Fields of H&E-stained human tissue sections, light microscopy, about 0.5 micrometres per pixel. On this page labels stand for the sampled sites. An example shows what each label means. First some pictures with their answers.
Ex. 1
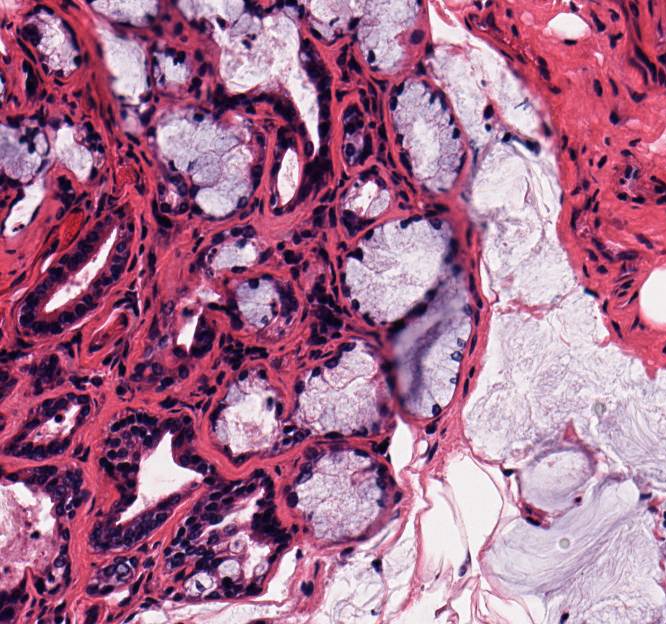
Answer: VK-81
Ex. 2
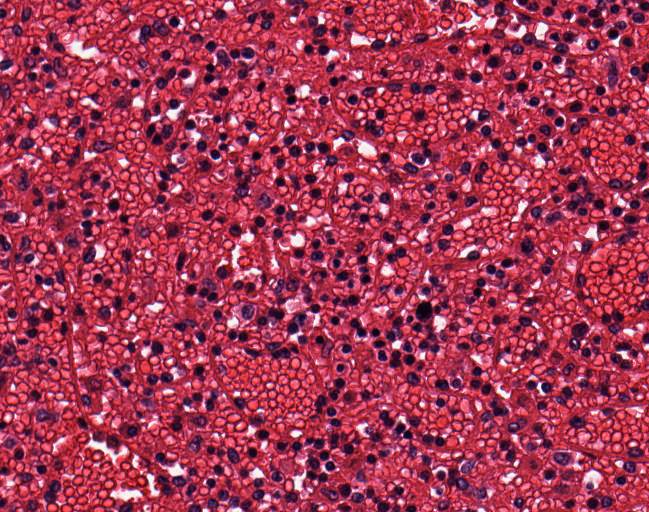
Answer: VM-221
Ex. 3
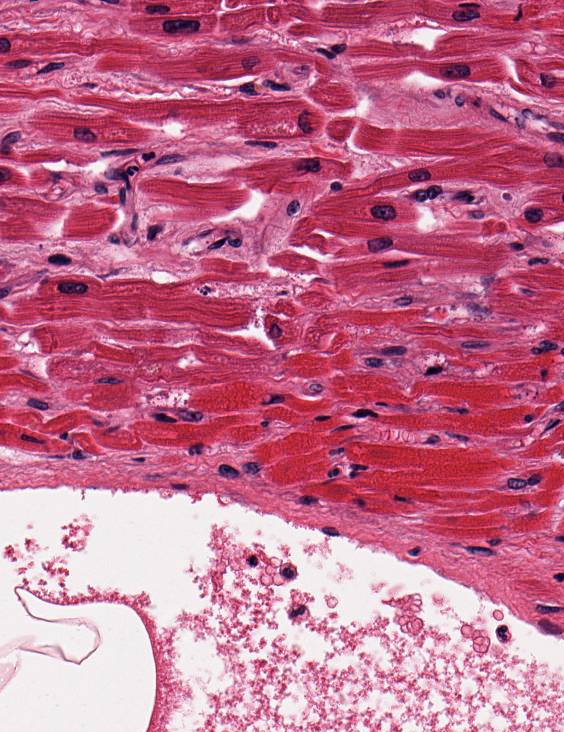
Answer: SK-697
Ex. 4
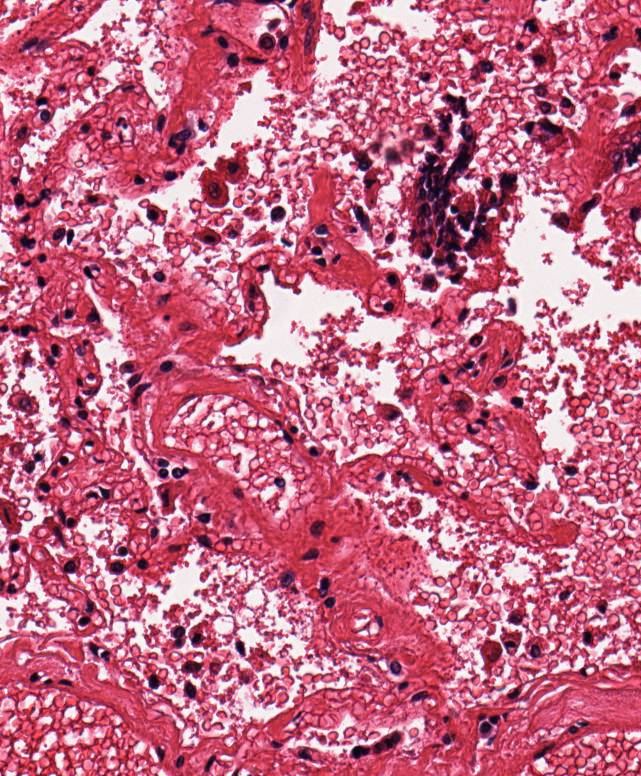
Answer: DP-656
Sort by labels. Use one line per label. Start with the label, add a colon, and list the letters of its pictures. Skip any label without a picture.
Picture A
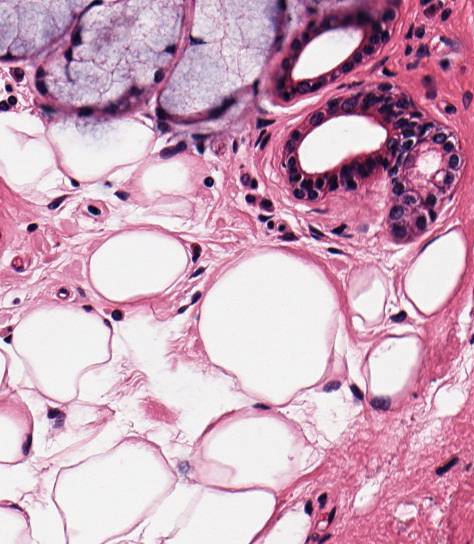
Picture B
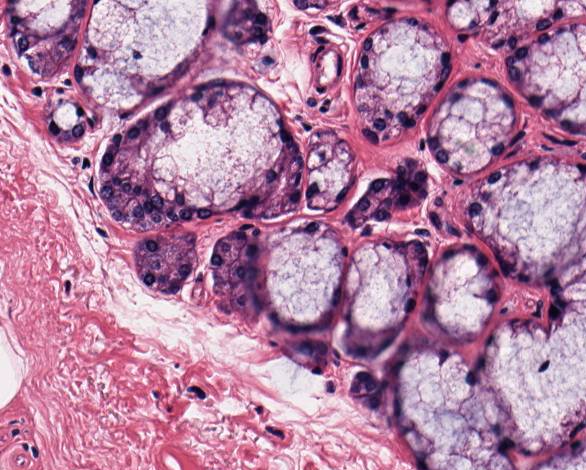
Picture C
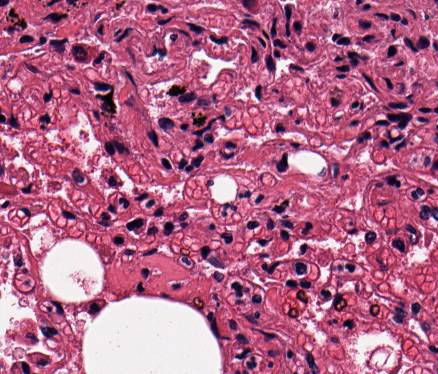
VK-81: A, B
DP-656: C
